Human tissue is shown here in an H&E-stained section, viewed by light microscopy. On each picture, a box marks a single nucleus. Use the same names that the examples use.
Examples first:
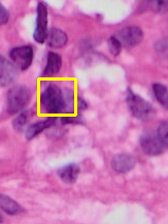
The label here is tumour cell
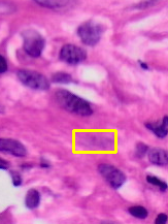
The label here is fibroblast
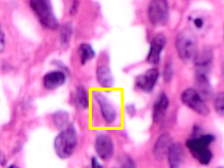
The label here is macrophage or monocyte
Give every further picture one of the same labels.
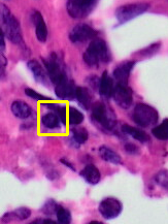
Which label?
tumour cell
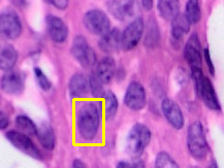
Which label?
tumour cell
